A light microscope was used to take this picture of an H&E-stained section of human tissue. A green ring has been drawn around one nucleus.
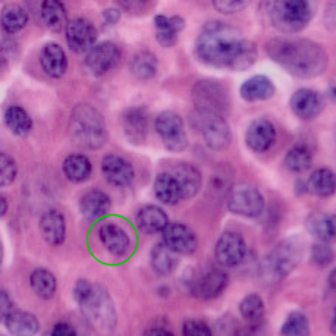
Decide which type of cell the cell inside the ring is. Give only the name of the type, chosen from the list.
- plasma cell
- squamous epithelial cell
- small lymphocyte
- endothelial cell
plasma cell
